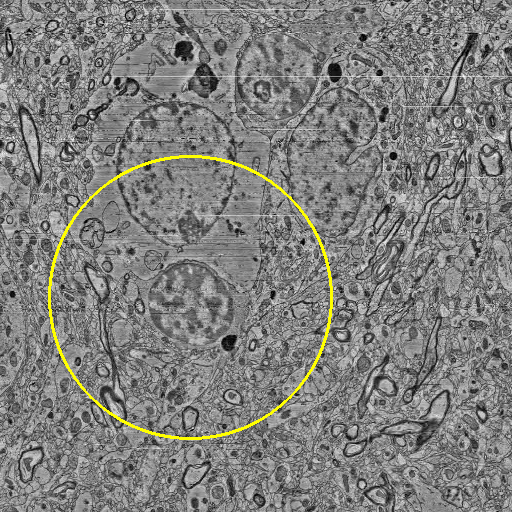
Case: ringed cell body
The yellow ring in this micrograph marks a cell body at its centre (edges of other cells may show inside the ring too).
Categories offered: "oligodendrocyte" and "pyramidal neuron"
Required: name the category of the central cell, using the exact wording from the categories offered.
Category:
oligodendrocyte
